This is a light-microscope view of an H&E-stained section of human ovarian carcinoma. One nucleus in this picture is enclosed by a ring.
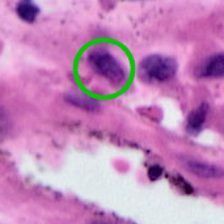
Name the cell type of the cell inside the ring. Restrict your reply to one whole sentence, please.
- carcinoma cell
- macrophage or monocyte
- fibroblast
What the cell inside the ring represents is a fibroblast.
